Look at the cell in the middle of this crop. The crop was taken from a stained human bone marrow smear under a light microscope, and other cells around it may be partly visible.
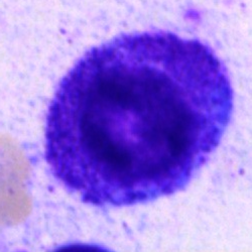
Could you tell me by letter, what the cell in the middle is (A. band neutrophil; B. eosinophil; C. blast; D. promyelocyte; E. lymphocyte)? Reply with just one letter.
D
